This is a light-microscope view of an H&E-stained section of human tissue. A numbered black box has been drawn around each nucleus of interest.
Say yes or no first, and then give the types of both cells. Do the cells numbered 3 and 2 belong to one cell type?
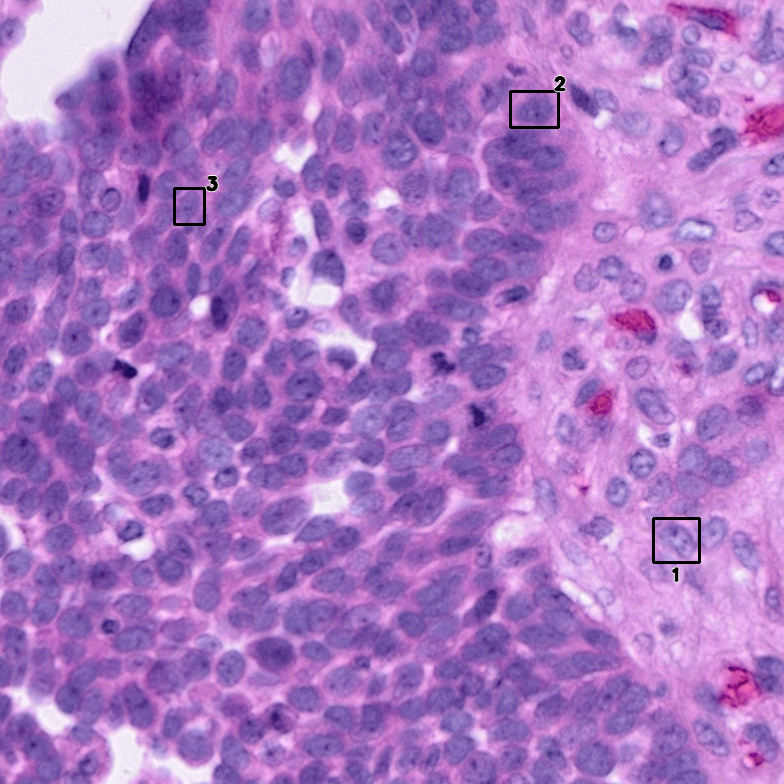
Yes, both are carcinoma cells.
